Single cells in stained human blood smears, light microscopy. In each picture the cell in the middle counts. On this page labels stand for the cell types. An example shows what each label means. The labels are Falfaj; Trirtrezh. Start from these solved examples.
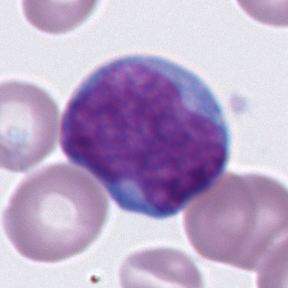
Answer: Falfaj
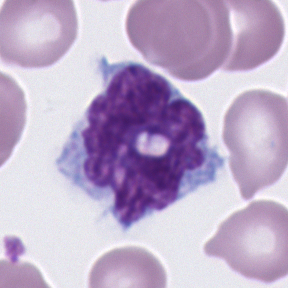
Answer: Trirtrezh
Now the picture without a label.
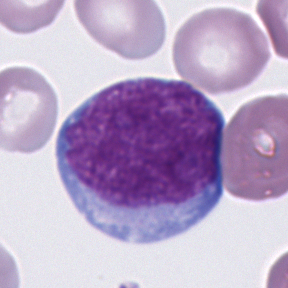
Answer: Falfaj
